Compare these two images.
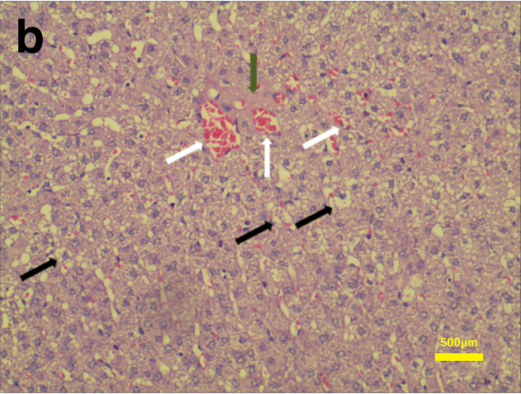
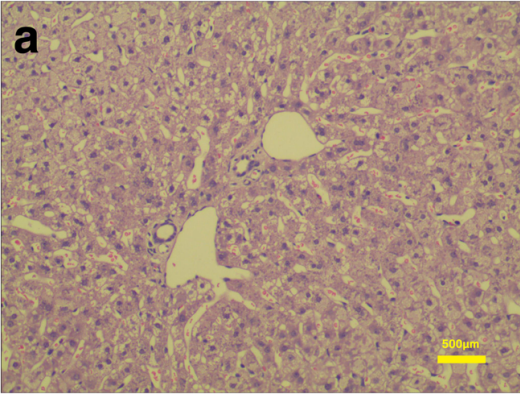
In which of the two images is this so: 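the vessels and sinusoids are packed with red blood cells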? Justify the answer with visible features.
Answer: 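The first image. First image: several vessel spaces near the centre are filled with bright red cells. Second image: the large vessel lumina and the sinusoids look empty and pale.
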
